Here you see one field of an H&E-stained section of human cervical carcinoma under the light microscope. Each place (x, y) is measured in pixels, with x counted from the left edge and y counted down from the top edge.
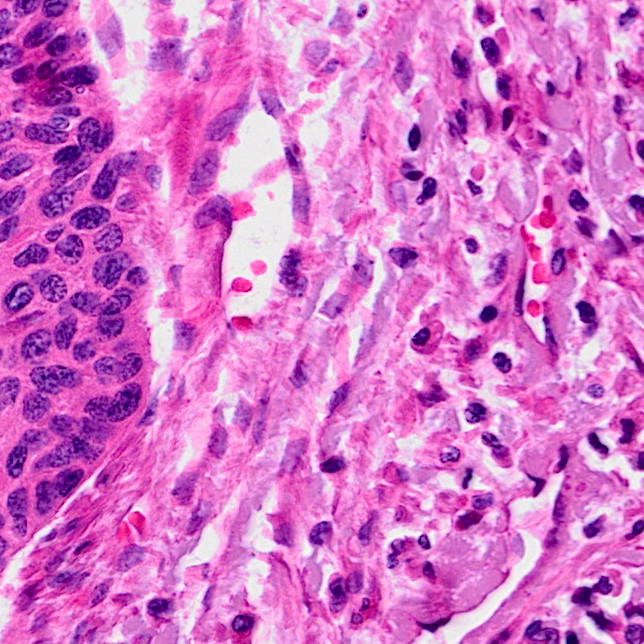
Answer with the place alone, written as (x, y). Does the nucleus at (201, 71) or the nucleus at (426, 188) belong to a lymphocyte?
(426, 188)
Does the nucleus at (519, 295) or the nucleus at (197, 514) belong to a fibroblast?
(197, 514)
